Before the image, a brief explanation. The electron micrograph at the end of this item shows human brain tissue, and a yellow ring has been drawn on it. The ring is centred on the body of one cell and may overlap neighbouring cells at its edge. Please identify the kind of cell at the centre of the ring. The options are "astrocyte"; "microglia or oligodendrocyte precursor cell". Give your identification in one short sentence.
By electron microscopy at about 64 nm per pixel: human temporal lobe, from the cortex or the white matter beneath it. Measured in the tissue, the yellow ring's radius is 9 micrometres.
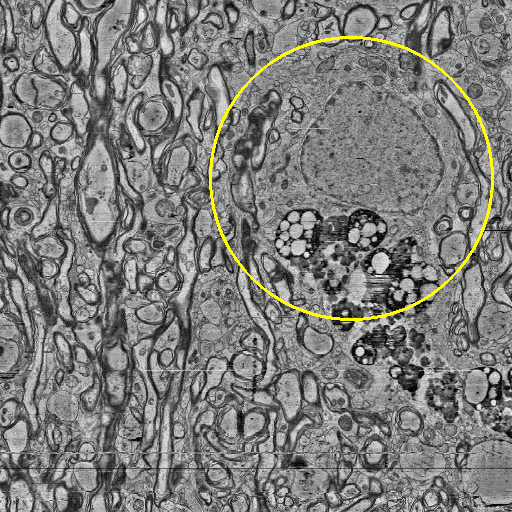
The ring has been placed around an astrocyte.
